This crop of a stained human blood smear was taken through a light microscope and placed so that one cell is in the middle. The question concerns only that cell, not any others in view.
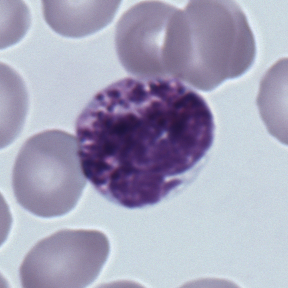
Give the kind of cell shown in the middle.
basophil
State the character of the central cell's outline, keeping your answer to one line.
In short, the margin is smooth with no projections at all.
